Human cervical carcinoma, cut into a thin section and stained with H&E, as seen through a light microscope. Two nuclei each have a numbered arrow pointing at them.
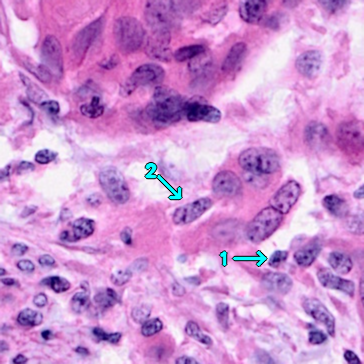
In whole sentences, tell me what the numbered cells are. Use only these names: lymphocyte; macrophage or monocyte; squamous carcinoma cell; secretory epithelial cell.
Cell 1 is a lymphocyte. Cell 2 is a macrophage or monocyte.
